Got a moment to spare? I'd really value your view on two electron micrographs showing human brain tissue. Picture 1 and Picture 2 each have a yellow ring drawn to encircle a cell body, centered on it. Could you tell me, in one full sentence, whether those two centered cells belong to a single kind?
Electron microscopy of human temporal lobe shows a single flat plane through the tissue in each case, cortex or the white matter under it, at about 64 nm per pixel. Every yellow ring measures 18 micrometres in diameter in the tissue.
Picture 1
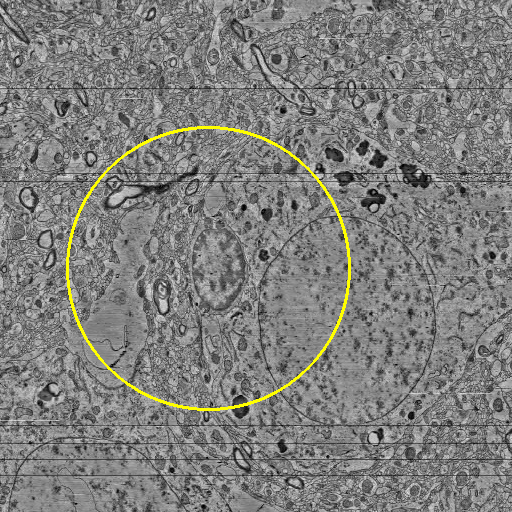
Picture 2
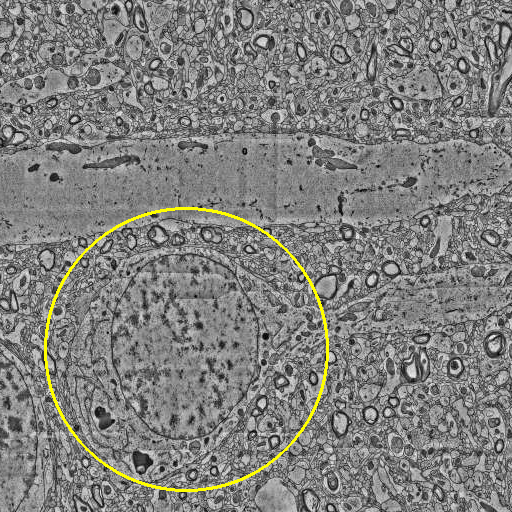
No, the two centered cells in Picture 1 and Picture 2 are of two kinds.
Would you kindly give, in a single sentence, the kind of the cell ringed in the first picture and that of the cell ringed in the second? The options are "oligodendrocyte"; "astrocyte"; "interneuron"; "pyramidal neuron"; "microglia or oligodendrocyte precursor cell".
The second cell is a pyramidal neuron, and the first cell is an oligodendrocyte.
